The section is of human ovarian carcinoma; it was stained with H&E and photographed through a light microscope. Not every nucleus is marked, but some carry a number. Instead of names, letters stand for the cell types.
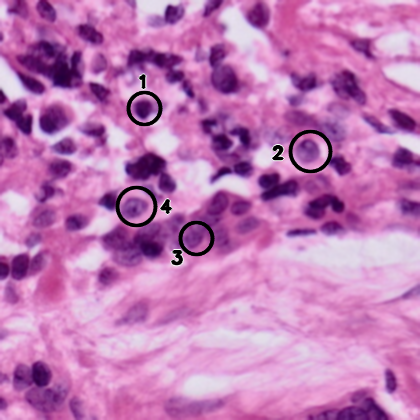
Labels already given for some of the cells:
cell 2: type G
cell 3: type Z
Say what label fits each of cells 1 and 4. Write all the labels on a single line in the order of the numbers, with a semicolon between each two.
type Z; type G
